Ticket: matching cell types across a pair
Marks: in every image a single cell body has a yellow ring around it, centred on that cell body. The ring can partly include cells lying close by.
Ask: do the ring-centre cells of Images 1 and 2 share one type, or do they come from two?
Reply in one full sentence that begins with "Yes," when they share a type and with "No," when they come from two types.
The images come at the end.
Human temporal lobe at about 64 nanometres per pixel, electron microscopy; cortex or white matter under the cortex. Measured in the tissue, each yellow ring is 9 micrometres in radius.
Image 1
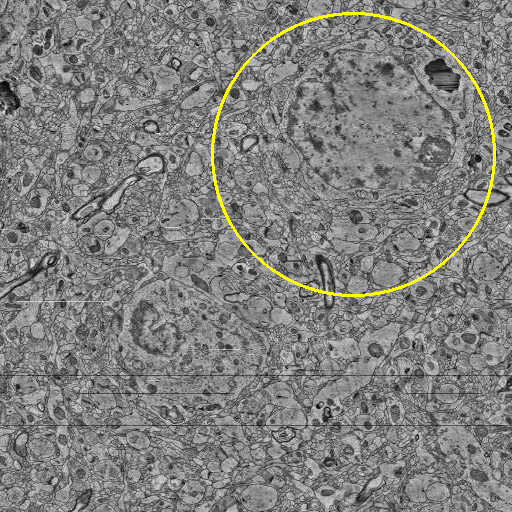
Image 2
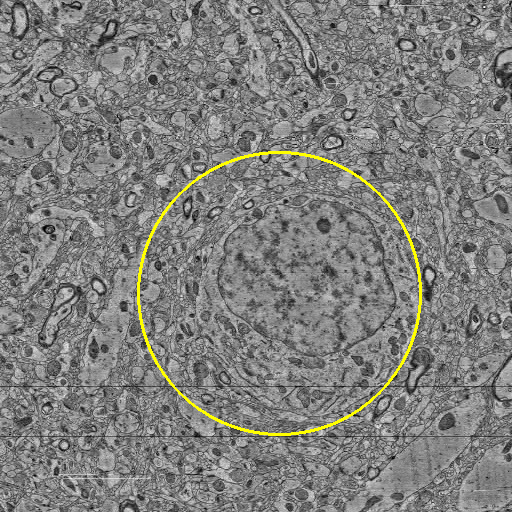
Yes, the cells in the centres of the rings in Image 1 and Image 2 share one type.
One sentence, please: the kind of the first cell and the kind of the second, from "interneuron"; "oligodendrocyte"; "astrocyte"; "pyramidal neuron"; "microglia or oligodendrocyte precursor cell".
The first and the second cell are each an interneuron.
